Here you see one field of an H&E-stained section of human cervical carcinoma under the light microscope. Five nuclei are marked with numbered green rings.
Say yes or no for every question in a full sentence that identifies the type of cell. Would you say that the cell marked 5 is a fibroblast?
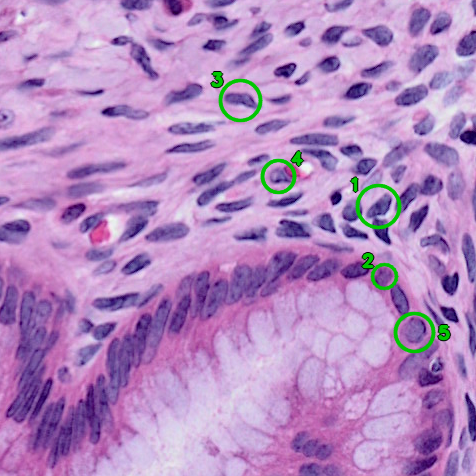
No, number 5 does not mark a fibroblast; it marks a secretory epithelial cell.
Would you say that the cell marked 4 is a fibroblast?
No, it is an endothelial cell, rather than a fibroblast, that carries number 4.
